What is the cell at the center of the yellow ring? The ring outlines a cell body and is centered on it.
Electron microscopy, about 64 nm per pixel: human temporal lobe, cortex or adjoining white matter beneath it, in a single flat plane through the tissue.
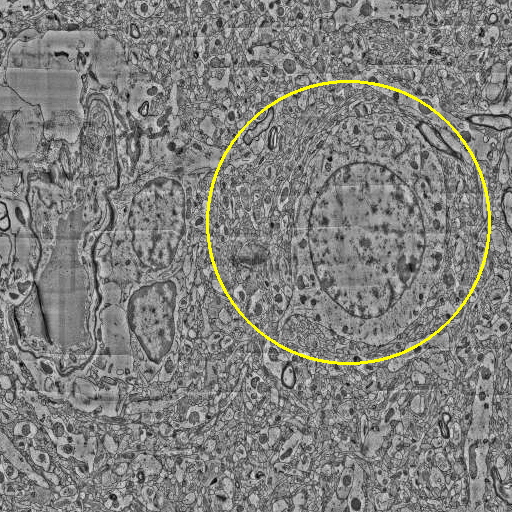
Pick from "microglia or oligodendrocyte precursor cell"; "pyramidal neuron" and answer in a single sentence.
The yellow ring is centered on a pyramidal neuron.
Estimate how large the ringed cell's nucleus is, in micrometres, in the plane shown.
Approximately 10 x 7 micrometres in this plane.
